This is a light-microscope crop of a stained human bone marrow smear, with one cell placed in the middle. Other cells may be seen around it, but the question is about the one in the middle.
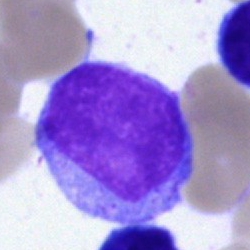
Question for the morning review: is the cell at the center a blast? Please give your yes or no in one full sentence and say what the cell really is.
Yes, the cell shown in the middle is a blast.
